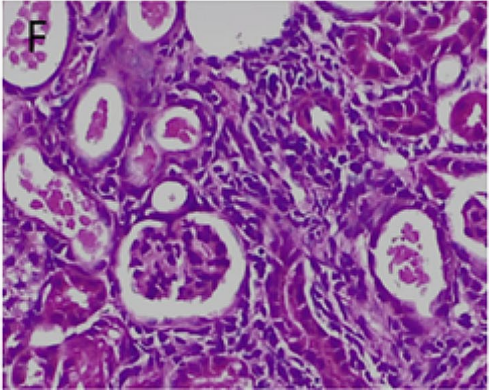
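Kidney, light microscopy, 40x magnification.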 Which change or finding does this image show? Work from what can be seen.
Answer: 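Many small dark nuclei crowd the tissue between tubules. The tubules are pushed apart by this cellular tissue.
Hence: Leukocytes infiltrating the interstitial area.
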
